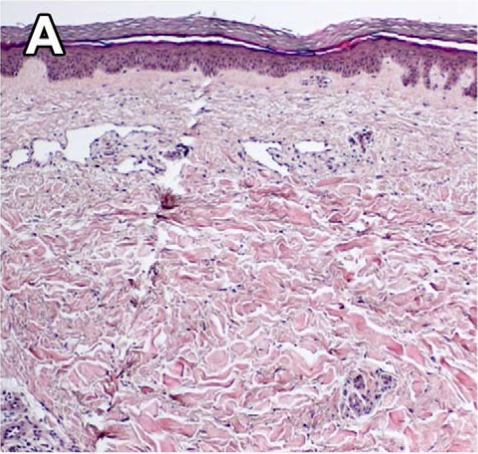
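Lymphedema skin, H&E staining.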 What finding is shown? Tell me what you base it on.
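Several irregular open, empty spaces lie in the upper dermis just below the epidermis. The spaces have thin walls.
Answer: dilated microvascular structures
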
